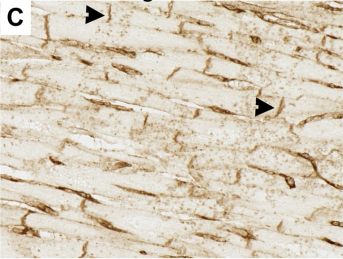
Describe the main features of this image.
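The fibres themselves are pale, and between them run dark brown lines and small brown dots. Short, dark brown bars lie where the ends of neighbouring fibres meet; these are the intercalated discs that join one cardiomyocyte to the next. Fine brown granules are also scattered over the fibres, giving the field a speckled look. Narrow pale clefts separate some of the fibres.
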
